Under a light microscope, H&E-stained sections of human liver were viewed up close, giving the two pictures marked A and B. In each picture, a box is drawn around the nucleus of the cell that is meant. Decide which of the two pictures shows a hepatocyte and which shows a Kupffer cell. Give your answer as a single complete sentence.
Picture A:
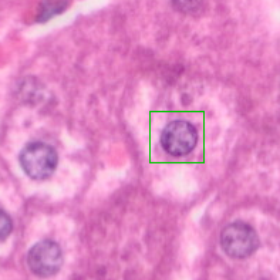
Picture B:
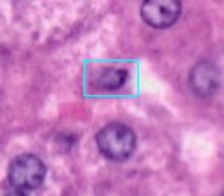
The cell in picture A is a hepatocyte, and the one in picture B is a Kupffer cell.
